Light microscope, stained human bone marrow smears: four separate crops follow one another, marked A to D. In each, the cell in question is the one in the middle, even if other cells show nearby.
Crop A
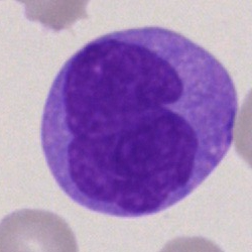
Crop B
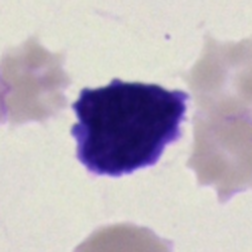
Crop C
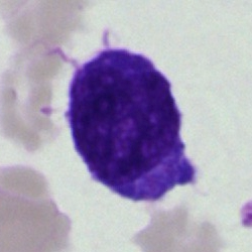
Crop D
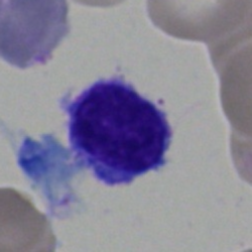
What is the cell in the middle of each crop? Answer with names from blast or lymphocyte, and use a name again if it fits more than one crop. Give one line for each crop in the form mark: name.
A: blast
B: blast
C: blast
D: lymphocyte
